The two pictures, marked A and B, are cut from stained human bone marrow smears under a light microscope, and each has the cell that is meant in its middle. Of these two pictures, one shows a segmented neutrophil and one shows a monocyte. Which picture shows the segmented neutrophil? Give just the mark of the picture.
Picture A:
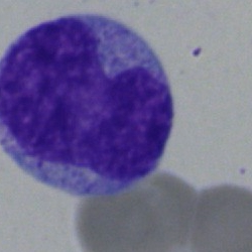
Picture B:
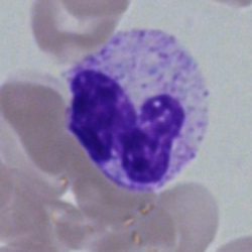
B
